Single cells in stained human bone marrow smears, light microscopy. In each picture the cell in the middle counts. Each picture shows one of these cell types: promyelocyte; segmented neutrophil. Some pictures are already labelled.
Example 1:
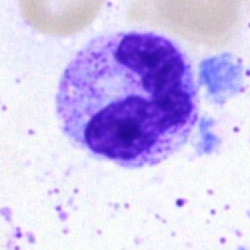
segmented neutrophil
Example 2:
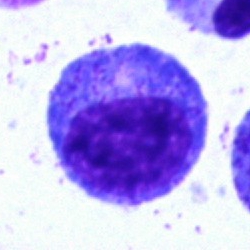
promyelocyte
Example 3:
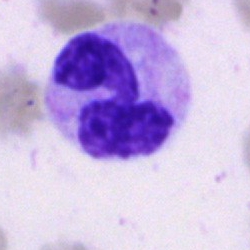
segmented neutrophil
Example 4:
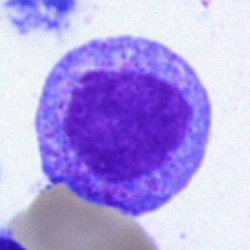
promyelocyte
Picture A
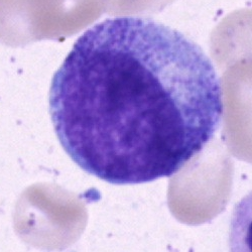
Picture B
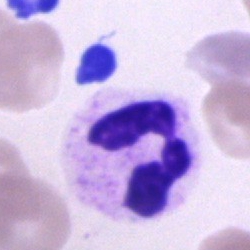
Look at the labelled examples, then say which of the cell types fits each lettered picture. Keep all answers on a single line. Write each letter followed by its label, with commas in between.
A promyelocyte, B segmented neutrophil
